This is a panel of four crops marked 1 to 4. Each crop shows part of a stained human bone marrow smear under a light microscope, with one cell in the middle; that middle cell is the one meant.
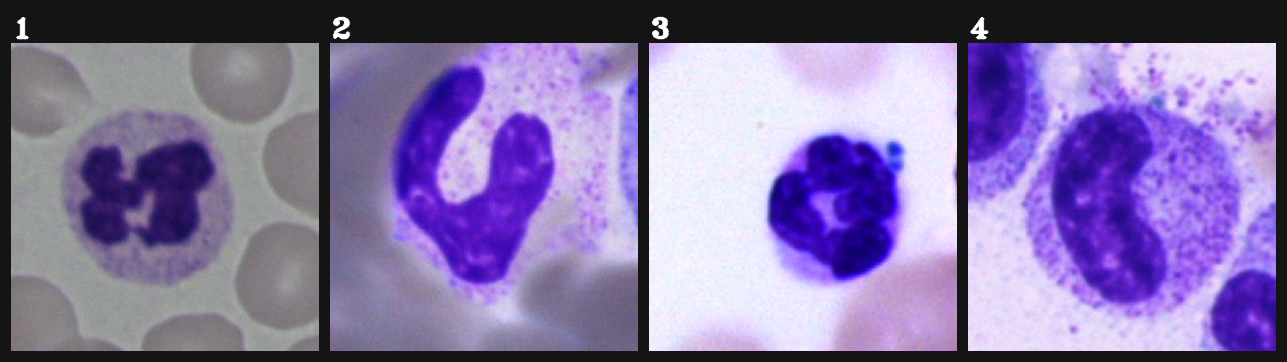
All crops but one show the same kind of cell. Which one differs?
4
